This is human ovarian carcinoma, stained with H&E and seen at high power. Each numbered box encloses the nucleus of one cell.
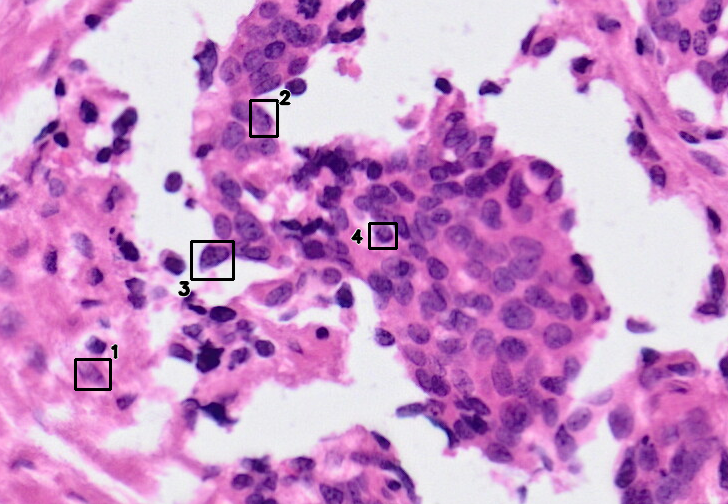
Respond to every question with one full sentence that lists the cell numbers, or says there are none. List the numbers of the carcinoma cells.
The cells that bear the numbers 2, 3 and 4 are carcinoma cells.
